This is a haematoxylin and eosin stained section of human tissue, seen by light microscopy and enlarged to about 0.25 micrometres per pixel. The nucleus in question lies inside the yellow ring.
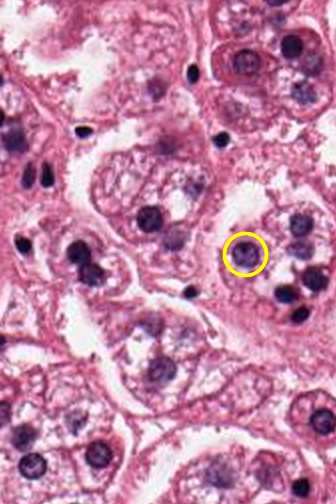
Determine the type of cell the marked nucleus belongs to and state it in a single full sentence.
A nucleus of an adrenal cortical cell is the one that is marked.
